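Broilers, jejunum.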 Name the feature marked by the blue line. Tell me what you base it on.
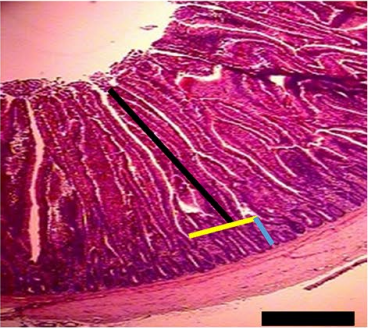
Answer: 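The blue line runs from the base of the projections down through a band of small tubular glands. The band lies just above the pale outer muscle layer. The answer: Crypt.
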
